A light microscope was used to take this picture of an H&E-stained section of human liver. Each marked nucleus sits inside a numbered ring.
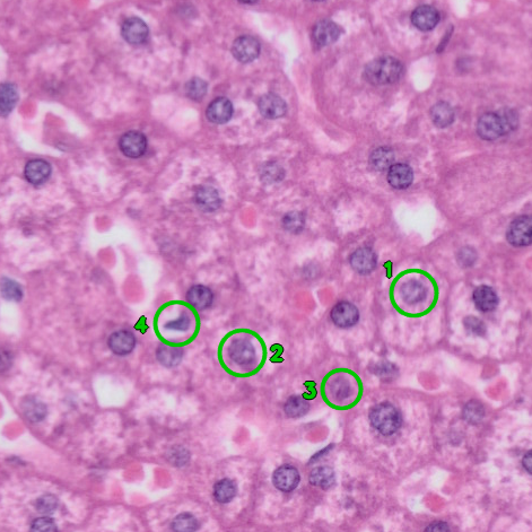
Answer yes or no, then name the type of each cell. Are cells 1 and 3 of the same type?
Yes, the cell labelled 1 and the cell labelled 3 are both hepatocytes.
